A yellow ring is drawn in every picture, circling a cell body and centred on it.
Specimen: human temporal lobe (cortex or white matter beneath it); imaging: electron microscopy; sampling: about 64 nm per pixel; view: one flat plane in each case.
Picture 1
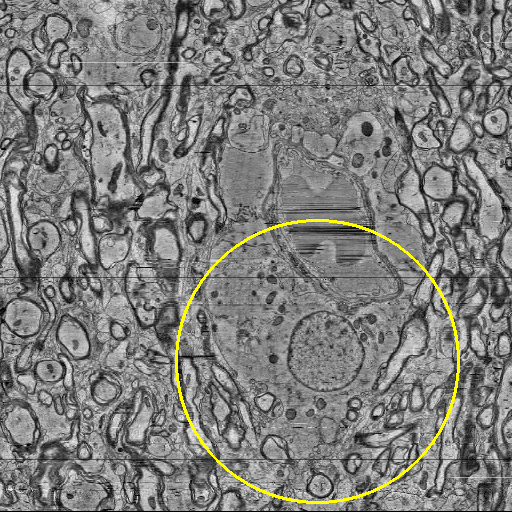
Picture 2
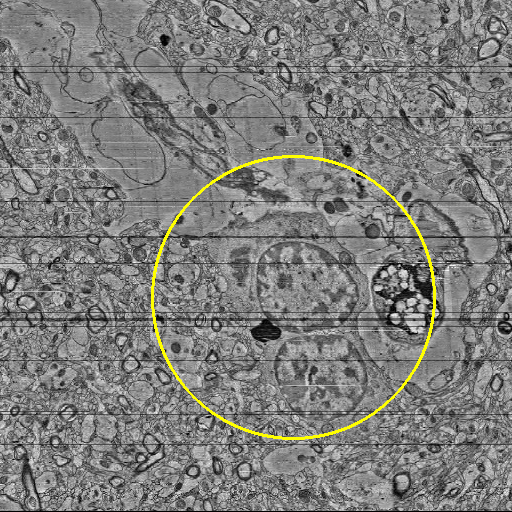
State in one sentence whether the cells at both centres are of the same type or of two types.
The cells at the two ring centres, one per picture, are of two types.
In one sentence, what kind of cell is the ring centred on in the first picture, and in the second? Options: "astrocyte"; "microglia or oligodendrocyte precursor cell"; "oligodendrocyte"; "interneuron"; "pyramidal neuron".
The cell at the centre of the second ring is an oligodendrocyte; the first ring's cell is an astrocyte.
